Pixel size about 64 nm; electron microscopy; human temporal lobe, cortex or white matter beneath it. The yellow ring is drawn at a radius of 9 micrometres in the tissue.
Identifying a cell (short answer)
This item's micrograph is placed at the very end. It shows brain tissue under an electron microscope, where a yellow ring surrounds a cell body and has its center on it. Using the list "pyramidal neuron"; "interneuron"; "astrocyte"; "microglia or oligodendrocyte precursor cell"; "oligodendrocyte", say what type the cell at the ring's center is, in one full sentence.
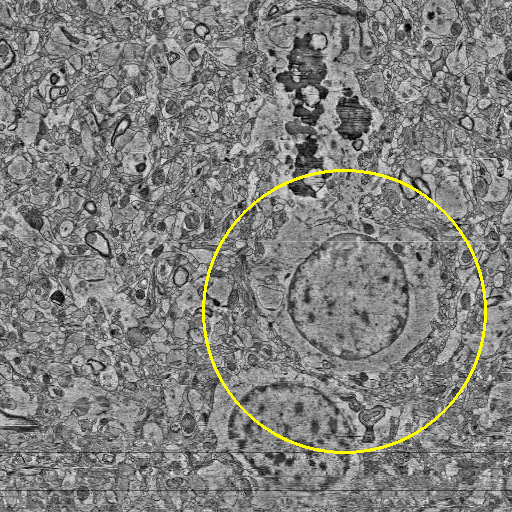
This picture shows an astrocyte at the center of the yellow ring drawn on it.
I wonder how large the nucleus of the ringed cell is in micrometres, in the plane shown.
The nucleus is about 8 micrometres across in this plane.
